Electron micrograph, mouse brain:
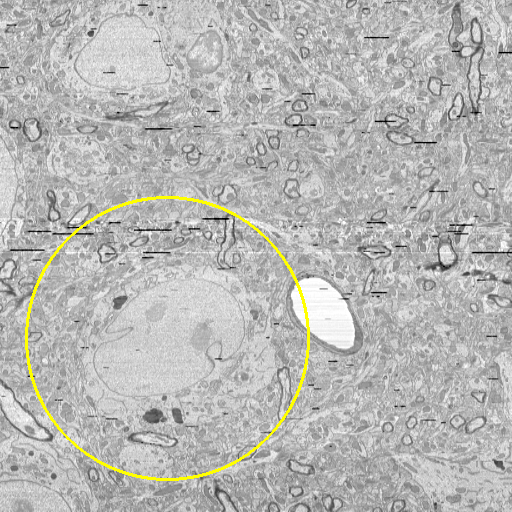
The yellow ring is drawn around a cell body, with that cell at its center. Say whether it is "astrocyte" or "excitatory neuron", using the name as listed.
excitatory neuron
